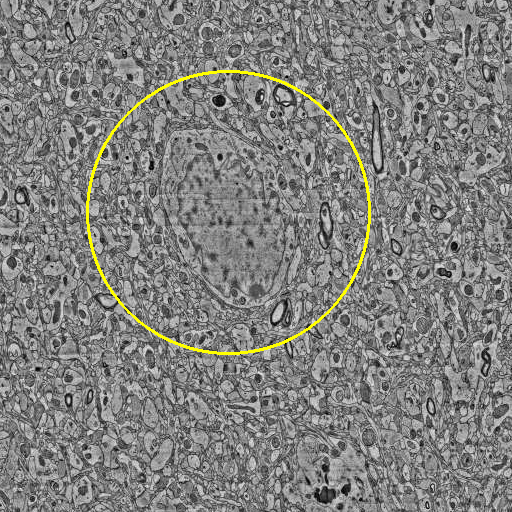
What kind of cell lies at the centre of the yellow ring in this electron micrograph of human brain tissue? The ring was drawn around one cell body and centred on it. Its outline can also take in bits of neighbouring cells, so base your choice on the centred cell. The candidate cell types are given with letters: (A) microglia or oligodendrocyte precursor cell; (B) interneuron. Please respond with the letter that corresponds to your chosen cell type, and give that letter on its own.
B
